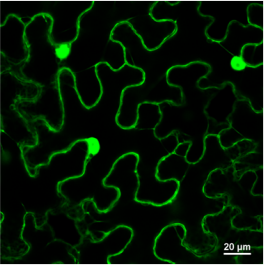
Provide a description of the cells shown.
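Leaf epidermal pavement cells with jigsaw-puzzle lobed outlines marked by green fluorescence along the cell periphery, somewhat uneven and threadlike in places. Several round, brightly green bodies lie against the cell borders. Cell interiors are largely dark.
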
